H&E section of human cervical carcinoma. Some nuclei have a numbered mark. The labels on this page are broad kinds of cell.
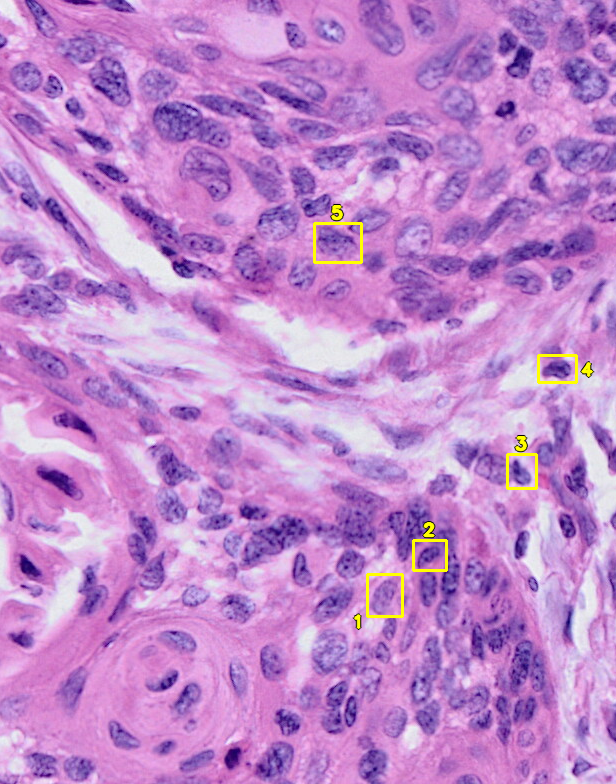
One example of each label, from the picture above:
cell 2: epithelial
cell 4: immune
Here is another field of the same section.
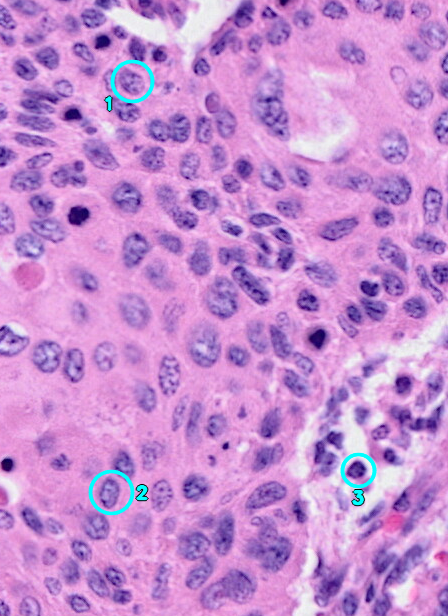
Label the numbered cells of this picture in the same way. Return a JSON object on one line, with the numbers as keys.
{"1": "epithelial", "2": "epithelial", "3": "immune"}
